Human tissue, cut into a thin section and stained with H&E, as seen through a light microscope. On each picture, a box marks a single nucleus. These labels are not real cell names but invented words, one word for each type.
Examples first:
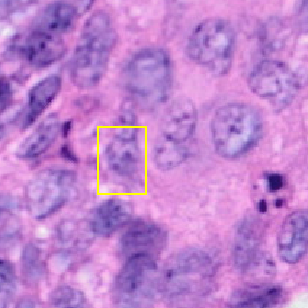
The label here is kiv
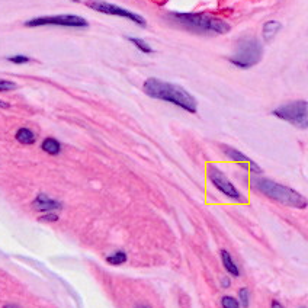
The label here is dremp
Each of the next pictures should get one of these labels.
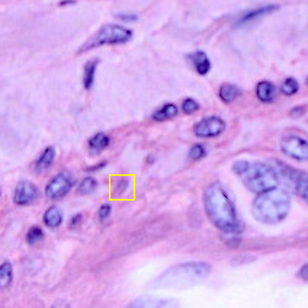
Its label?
dremp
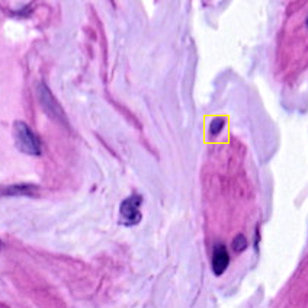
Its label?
dremp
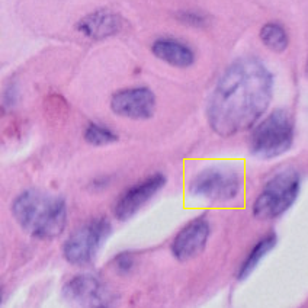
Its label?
kiv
